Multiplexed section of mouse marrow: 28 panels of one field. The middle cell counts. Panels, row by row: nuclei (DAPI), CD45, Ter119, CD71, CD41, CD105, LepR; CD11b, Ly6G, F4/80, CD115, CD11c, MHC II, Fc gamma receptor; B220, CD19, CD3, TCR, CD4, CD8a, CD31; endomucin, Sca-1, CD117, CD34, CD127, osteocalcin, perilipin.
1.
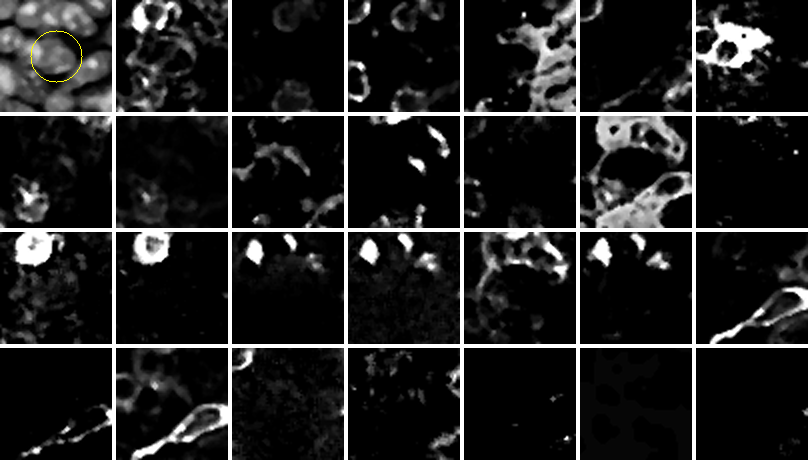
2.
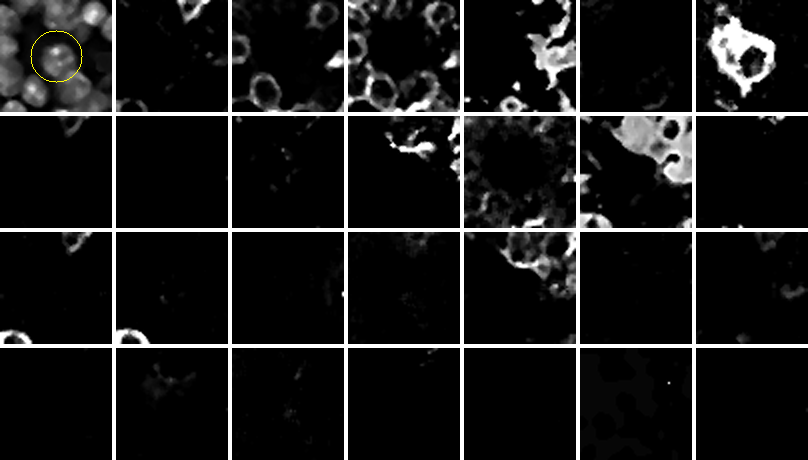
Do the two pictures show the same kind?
Yes, both are LepR-positive perivascular cells.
